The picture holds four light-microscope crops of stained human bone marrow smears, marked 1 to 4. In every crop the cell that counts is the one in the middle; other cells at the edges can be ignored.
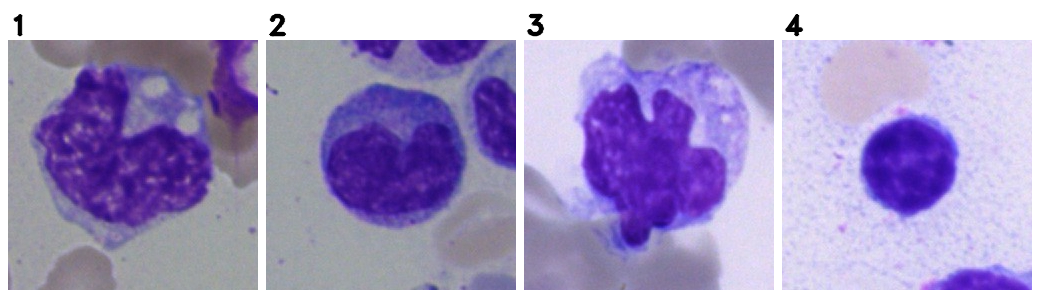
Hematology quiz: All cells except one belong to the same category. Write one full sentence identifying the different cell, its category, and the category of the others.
Crop 4 differs: it is a lymphocyte, and all the other crops show monocytes.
